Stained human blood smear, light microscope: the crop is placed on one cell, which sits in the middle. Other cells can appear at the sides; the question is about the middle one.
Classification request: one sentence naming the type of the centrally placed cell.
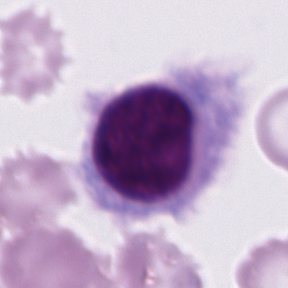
As for the cell in the middle, it is a hairy cell.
